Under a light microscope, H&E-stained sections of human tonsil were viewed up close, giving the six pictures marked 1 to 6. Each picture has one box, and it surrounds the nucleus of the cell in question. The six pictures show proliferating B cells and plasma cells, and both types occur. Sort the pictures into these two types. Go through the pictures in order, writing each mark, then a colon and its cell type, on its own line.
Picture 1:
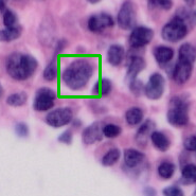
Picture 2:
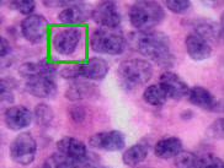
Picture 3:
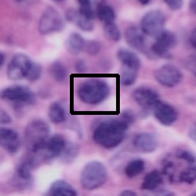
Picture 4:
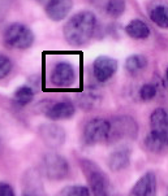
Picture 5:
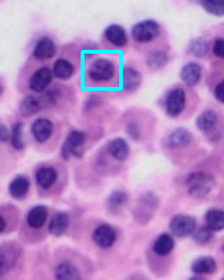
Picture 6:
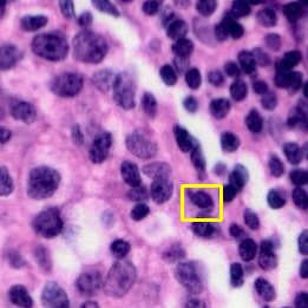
1: proliferating B cell
2: proliferating B cell
3: proliferating B cell
4: plasma cell
5: plasma cell
6: proliferating B cell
